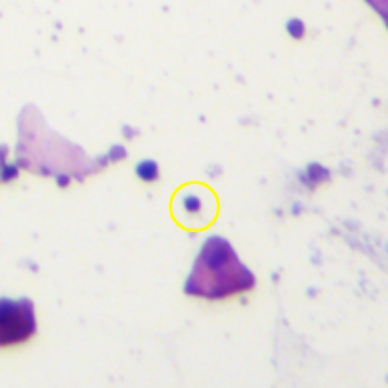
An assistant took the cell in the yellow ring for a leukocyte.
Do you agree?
I agree, it is a leukocyte.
